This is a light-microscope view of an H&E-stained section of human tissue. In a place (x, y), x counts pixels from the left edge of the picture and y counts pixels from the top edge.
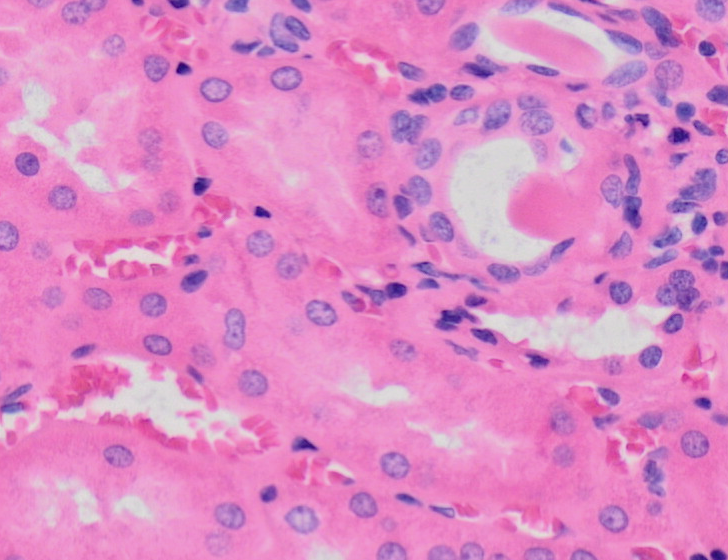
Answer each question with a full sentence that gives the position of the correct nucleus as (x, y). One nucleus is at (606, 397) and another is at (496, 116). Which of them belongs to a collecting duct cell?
The nucleus of the pair that lies within a collecting duct cell is at (496, 116).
